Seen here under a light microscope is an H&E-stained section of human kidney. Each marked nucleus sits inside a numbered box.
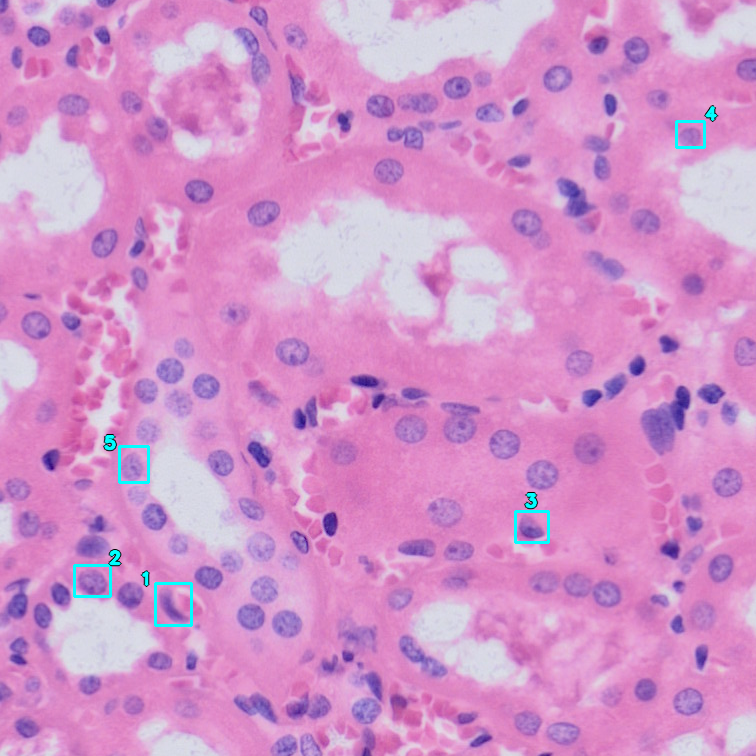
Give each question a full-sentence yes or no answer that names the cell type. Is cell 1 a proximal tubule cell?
No, the marker 1 sits on an endothelial cell, not on a proximal tubule cell.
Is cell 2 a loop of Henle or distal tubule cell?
Yes, the cell marked with number 2 is a loop of Henle or distal tubule cell.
